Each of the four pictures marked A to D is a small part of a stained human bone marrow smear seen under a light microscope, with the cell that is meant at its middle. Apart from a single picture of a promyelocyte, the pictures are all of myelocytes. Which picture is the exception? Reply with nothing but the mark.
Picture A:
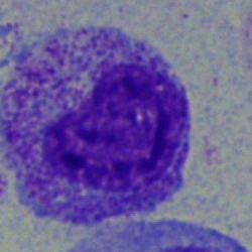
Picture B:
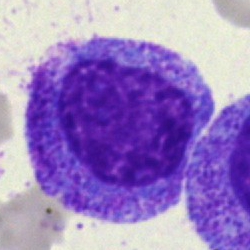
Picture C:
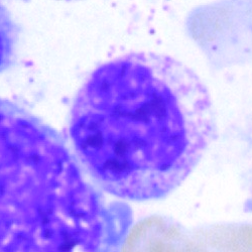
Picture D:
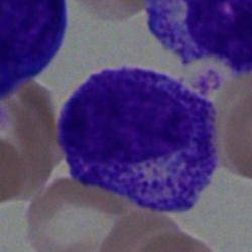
B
